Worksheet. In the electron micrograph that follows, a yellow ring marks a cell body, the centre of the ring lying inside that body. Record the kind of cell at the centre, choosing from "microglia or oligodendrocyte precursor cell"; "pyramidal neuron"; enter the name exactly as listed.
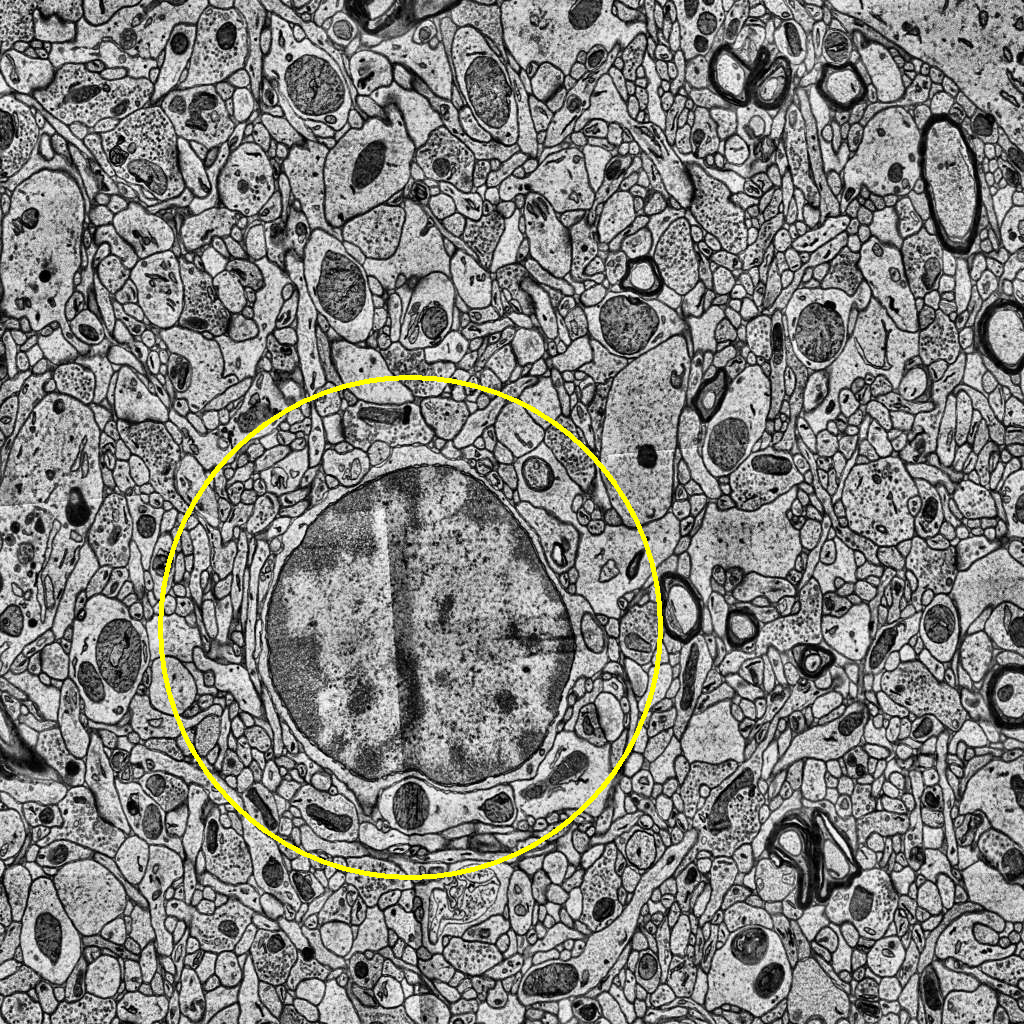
microglia or oligodendrocyte precursor cell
